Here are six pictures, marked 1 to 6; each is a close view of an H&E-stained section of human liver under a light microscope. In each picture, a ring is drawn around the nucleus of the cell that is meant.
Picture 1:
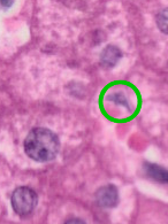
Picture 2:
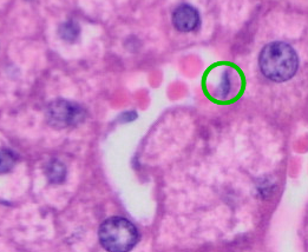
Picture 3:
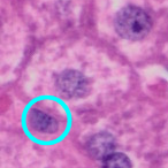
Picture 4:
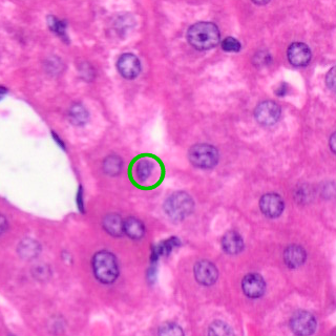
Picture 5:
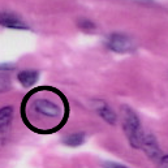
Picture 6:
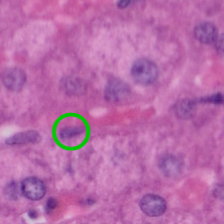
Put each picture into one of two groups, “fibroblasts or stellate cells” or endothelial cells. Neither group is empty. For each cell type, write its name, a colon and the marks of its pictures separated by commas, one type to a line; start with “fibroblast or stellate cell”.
fibroblast or stellate cell: 4, 5, 6
endothelial cell: 1, 2, 3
